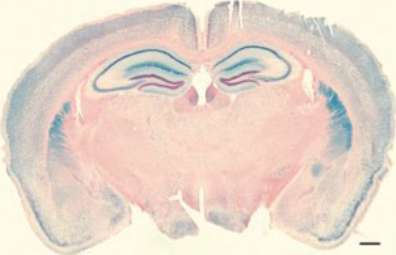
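The outer mantle of each hemisphere is light blue, and the curved cell layers of the hippocampus stand out on both sides as thin, sharply drawn dark blue bands. The central deep regions of the section remain largely pink, with only faint blue.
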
